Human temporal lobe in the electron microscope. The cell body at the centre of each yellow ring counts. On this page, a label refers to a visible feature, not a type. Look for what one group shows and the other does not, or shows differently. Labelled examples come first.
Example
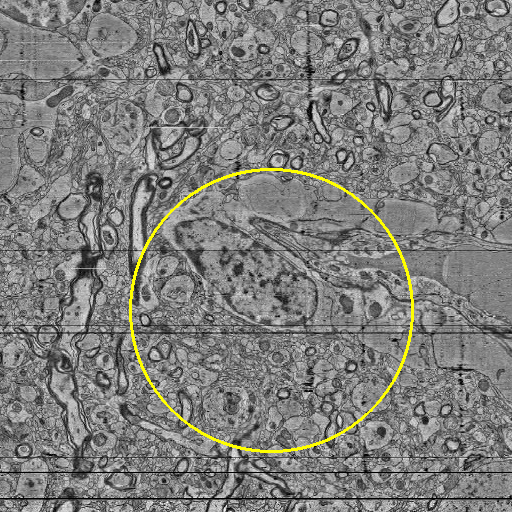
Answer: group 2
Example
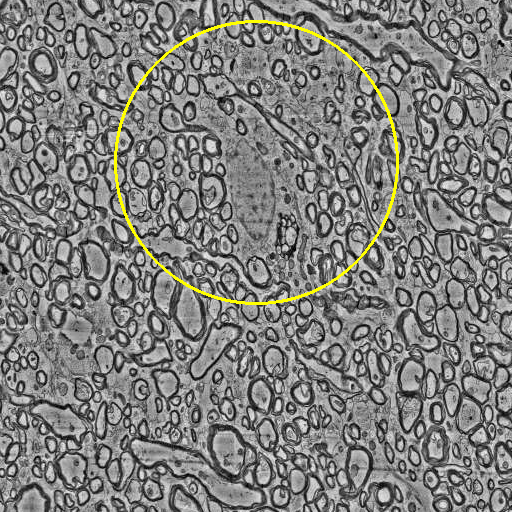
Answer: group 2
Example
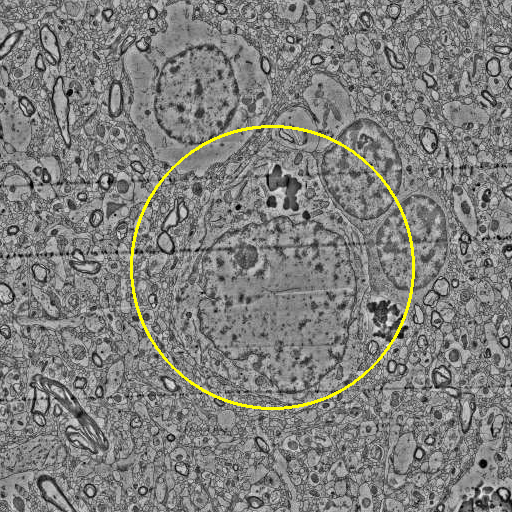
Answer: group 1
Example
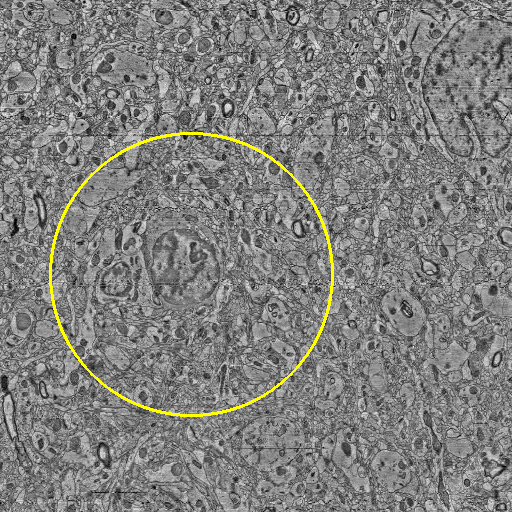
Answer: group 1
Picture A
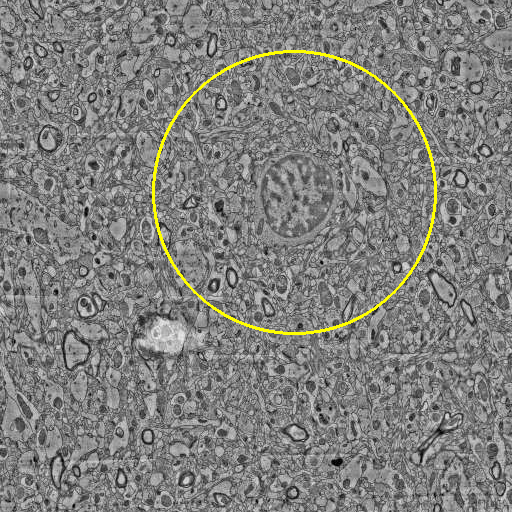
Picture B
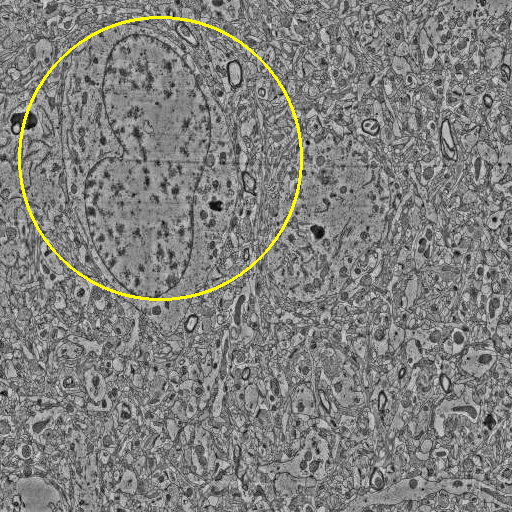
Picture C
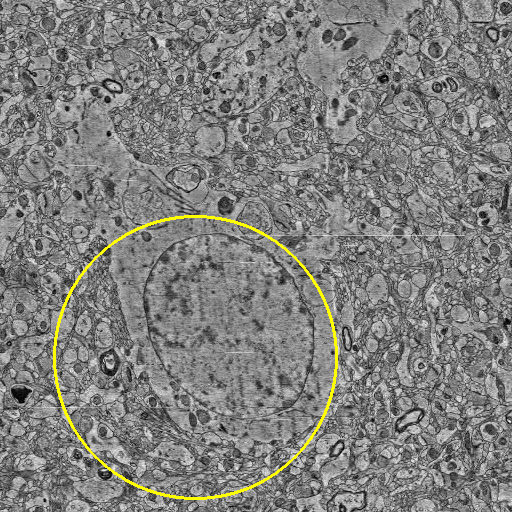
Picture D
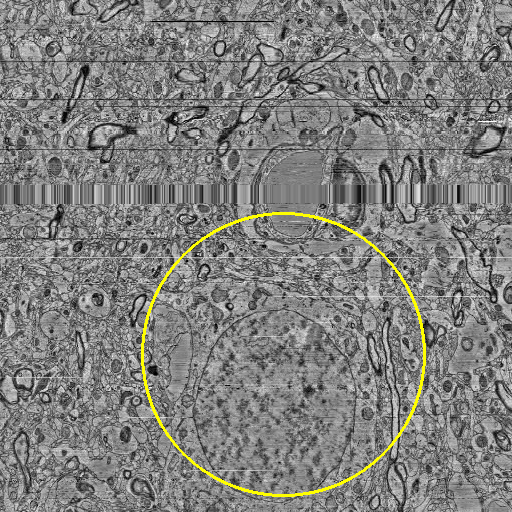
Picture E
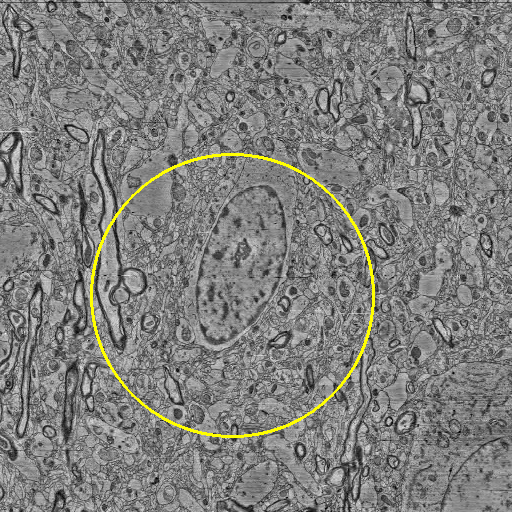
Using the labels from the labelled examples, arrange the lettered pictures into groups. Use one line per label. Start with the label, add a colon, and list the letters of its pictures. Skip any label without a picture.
group 2: B, E
group 1: A, C, D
